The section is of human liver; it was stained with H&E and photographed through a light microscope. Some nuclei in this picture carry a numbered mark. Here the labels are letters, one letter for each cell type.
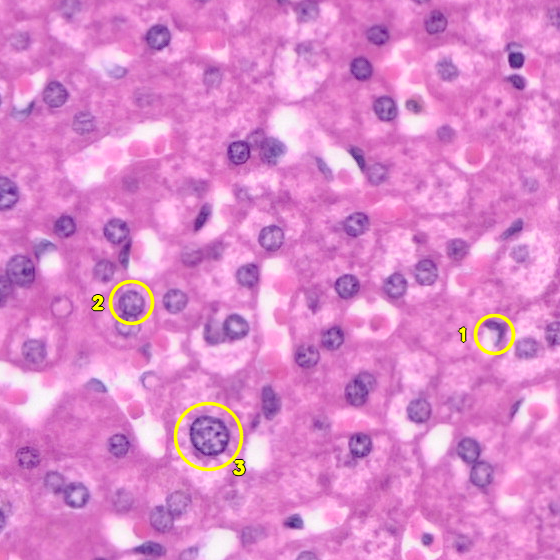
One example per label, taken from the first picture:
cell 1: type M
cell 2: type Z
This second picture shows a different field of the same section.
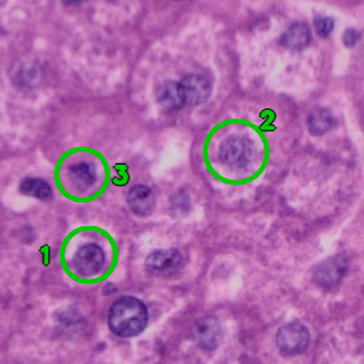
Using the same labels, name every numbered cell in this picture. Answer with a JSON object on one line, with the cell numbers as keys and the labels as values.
{"1": "type Z", "2": "type Z", "3": "type M"}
